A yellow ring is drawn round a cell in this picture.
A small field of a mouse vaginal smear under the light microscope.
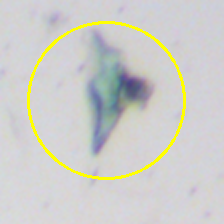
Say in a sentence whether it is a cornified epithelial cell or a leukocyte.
The cell in the ring is a cornified epithelial cell.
